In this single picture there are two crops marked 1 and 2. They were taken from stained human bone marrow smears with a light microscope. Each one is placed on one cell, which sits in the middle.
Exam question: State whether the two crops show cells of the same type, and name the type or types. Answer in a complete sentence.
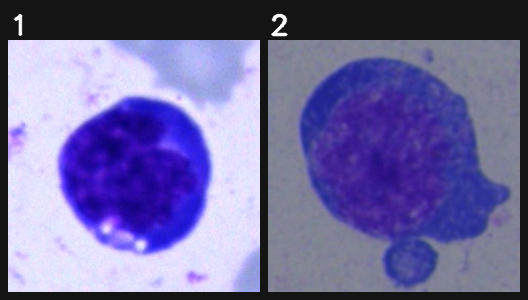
Yes, as an answer for this item, both crops show blasts.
